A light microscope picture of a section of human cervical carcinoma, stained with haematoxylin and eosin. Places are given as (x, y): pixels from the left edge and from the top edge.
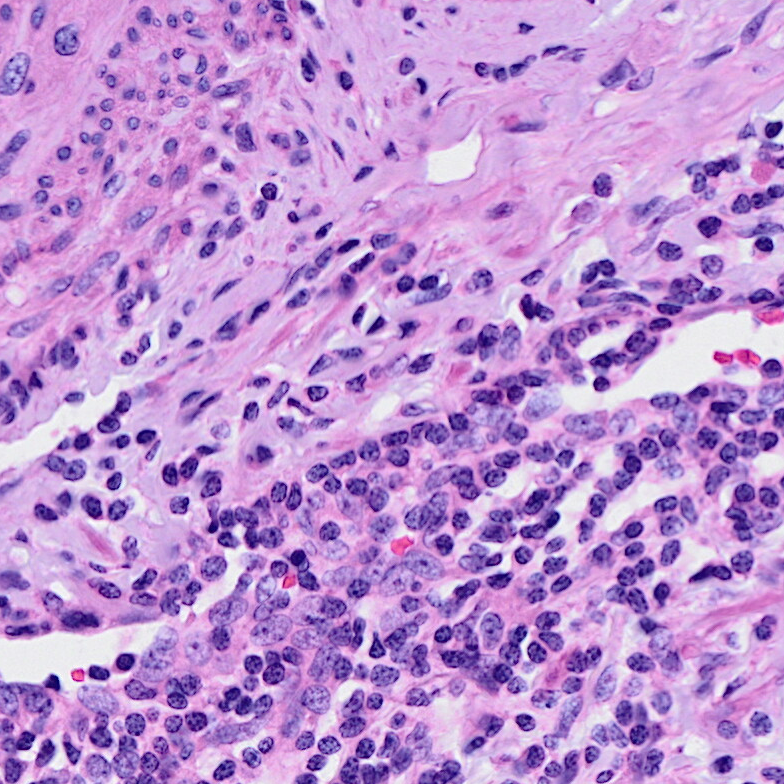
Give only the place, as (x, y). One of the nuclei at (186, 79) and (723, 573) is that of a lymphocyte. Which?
(723, 573)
